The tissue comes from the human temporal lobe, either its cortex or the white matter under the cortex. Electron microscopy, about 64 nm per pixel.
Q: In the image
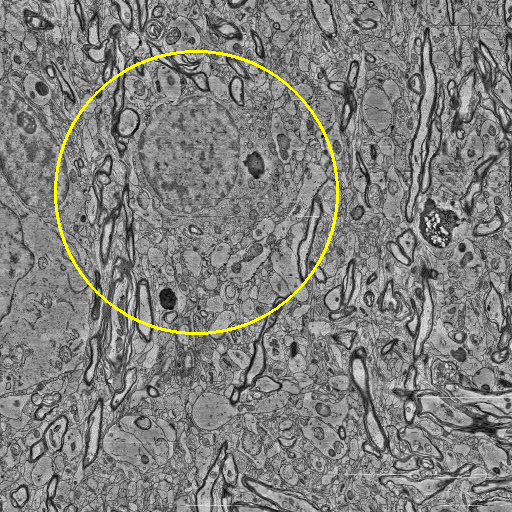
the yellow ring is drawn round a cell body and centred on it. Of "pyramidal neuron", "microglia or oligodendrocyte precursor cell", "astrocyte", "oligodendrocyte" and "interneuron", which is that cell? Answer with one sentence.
The cell centred in the ring is an oligodendrocyte.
